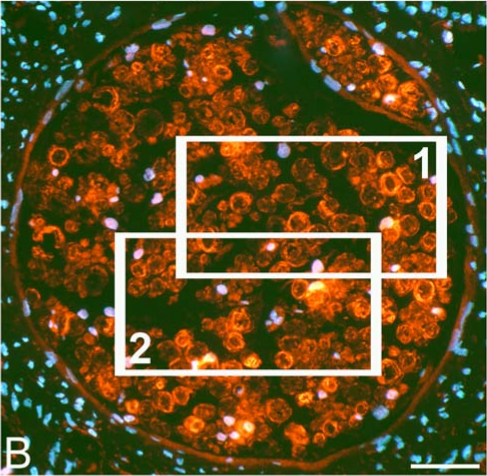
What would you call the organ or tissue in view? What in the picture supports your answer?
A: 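Nerve fascicle. A round bundle outlined by a thin sheath with flattened nuclei. Ring-shaped profiles fill the bundle.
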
